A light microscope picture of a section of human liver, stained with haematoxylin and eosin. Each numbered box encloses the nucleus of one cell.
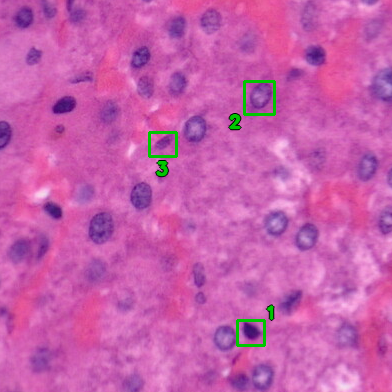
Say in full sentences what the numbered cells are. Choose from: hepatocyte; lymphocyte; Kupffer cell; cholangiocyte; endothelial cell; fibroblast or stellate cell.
Cell 1 is a fibroblast or stellate cell, cell 2 is a hepatocyte and cell 3 is a fibroblast or stellate cell.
